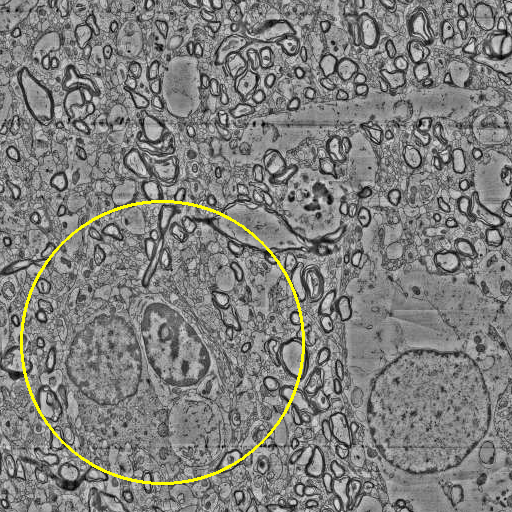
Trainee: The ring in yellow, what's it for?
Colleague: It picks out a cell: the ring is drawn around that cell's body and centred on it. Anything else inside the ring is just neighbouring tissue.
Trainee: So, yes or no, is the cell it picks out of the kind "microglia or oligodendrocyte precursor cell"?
yes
